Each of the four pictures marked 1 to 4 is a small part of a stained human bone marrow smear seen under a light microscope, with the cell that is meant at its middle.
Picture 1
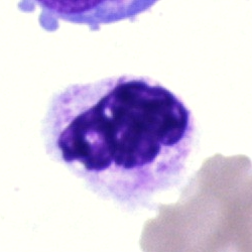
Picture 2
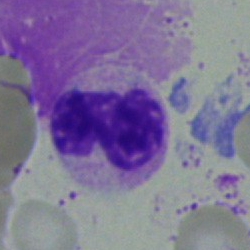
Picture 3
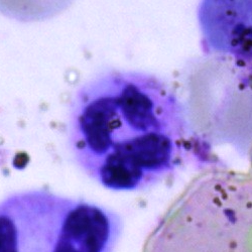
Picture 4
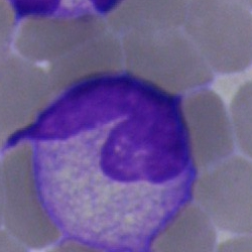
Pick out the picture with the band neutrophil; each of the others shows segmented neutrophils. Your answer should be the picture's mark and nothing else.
4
